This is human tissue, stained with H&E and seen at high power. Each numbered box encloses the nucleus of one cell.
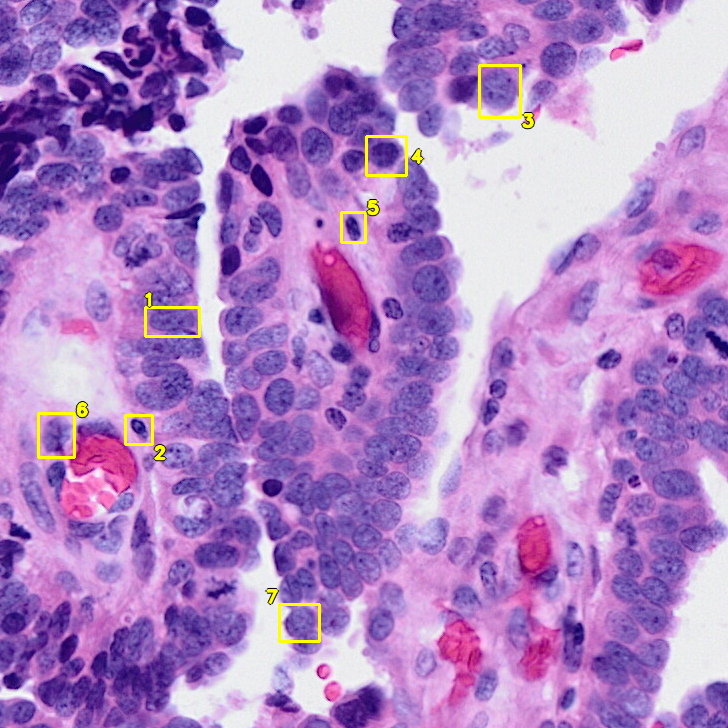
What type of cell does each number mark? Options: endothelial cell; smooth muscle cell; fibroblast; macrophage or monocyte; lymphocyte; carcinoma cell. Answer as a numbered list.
1. carcinoma cell
2. lymphocyte
3. carcinoma cell
4. carcinoma cell
5. lymphocyte
6. endothelial cell
7. carcinoma cell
